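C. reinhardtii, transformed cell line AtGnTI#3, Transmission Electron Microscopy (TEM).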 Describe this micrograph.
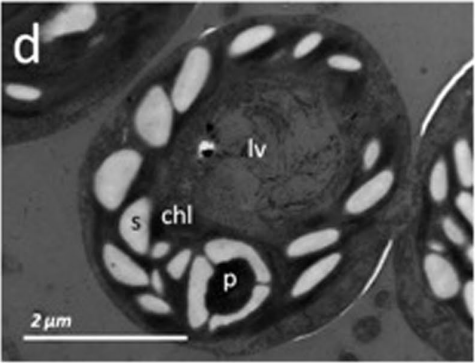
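This is a rounded green alga cell whose chloroplast, running around the edge of the cell, is packed with many pale, elongated starch granules. At the lower part of the cell a dark pyrenoid is enclosed by a pale starch sheath. The centre of the cell is taken up by a large vesicle with faint, wispy contents.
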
